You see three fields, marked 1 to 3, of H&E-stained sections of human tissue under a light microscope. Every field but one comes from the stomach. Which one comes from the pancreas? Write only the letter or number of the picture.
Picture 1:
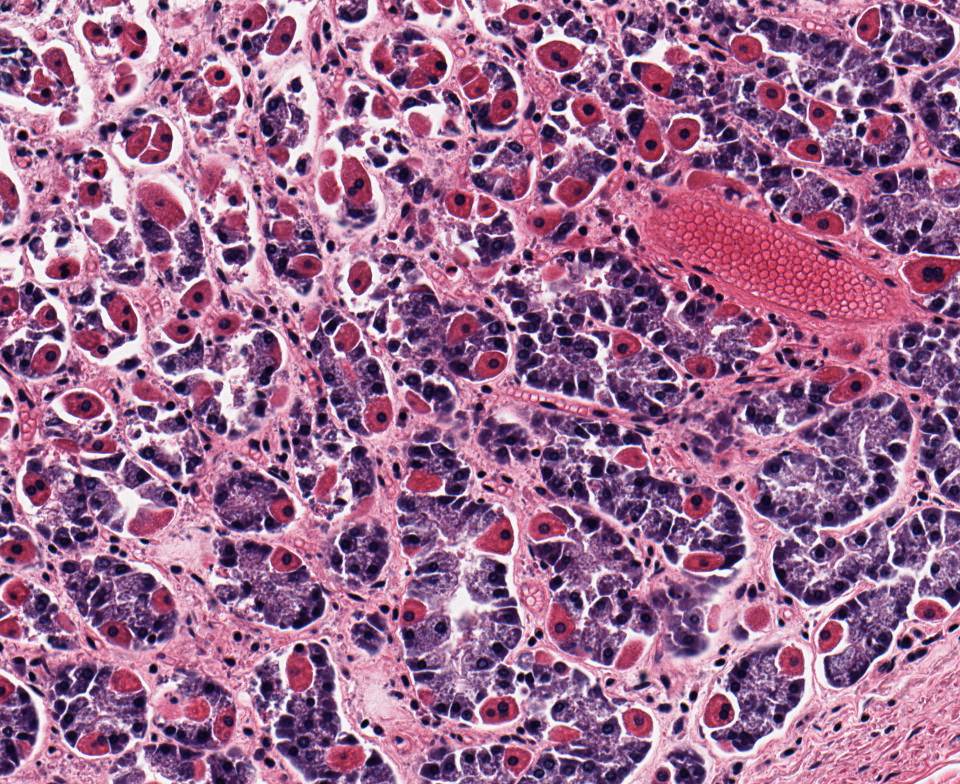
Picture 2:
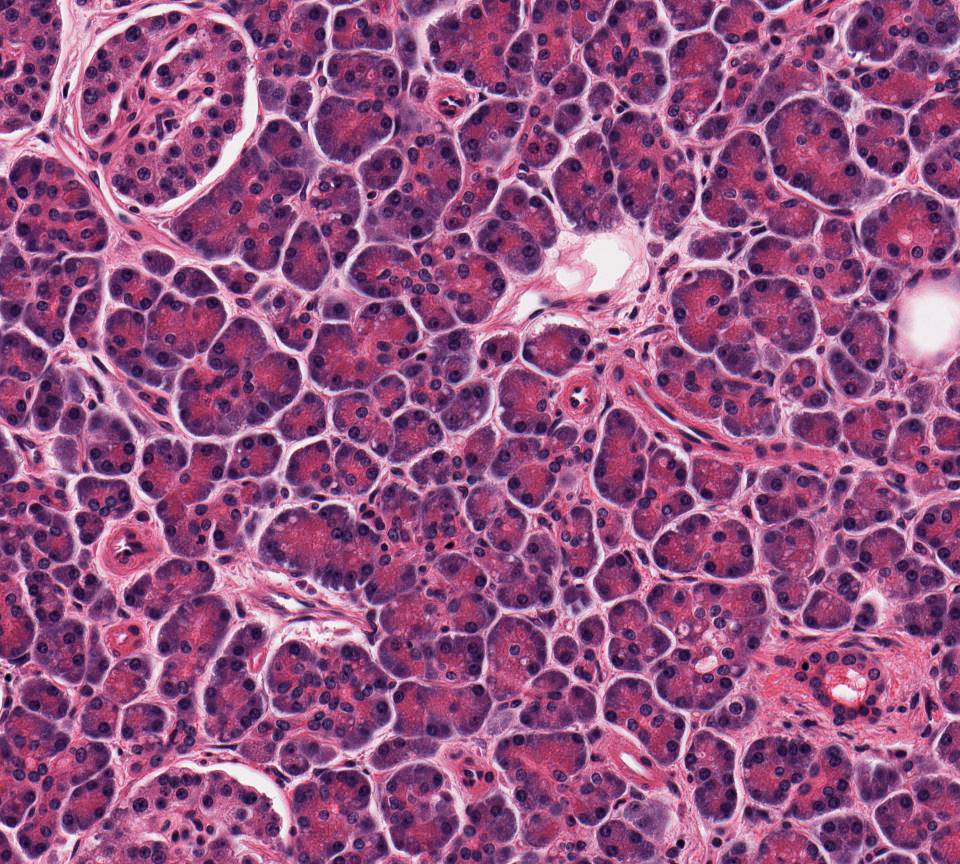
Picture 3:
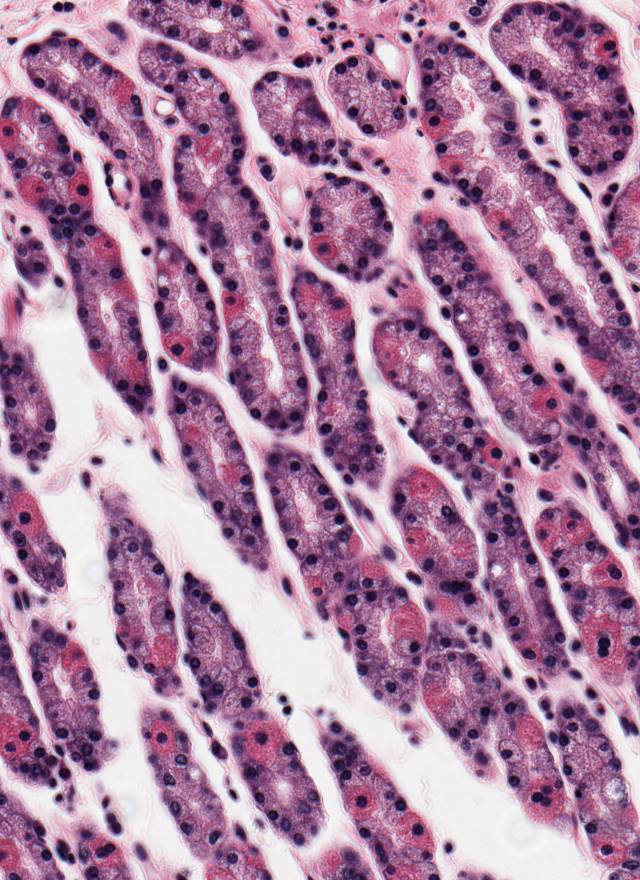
2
